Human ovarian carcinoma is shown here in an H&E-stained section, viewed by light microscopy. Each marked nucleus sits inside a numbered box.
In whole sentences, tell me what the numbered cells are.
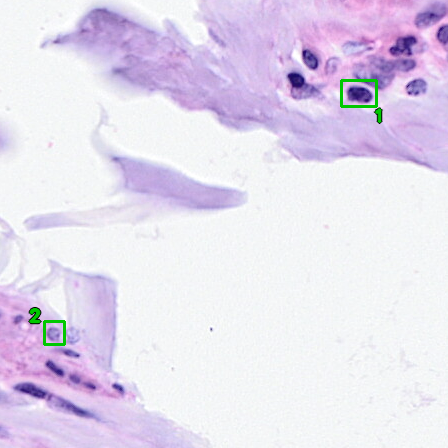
Cell 1 is a lymphocyte. Cell 2 is a smooth muscle cell.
